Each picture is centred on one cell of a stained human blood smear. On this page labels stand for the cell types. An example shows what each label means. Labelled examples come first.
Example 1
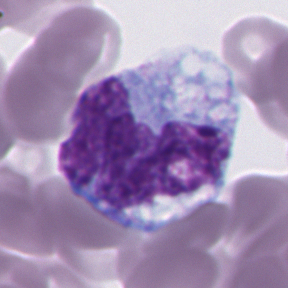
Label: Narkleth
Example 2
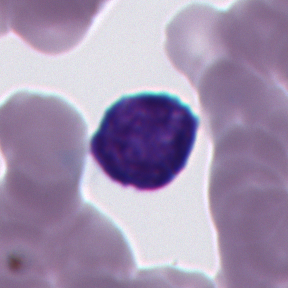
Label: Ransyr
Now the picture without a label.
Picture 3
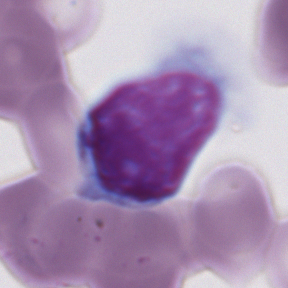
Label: Ransyr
